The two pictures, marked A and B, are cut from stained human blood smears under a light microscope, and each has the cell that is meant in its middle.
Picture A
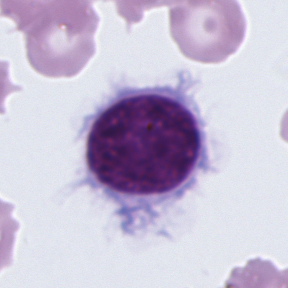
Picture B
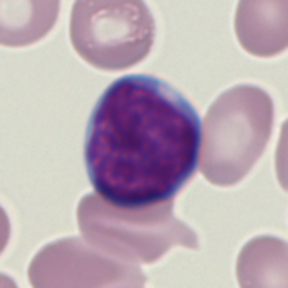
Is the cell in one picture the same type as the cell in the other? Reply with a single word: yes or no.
no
